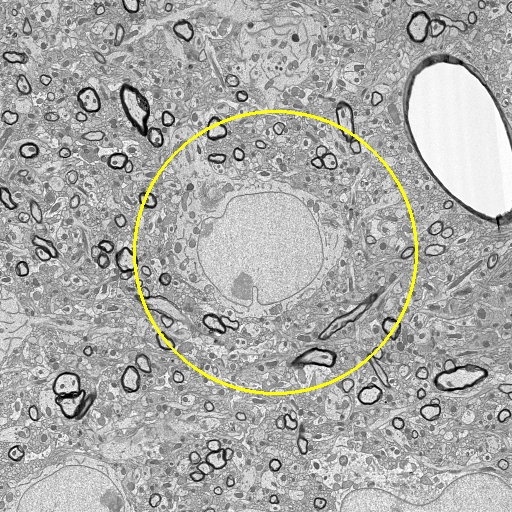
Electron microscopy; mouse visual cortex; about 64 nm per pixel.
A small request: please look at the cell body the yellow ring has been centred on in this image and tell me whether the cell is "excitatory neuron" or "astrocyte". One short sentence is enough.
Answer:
The cell marked by the ring is an excitatory neuron.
